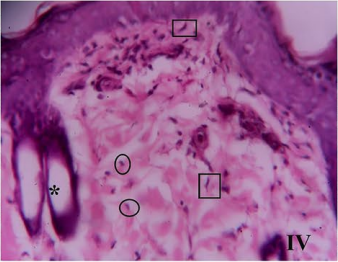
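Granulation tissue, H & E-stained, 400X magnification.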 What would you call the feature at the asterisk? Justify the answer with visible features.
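The asterisk lies beside an elongated tubular structure with a dark purple epithelial wall. The structure resembles a hair follicle set in the dermis.
Skin appendages.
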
